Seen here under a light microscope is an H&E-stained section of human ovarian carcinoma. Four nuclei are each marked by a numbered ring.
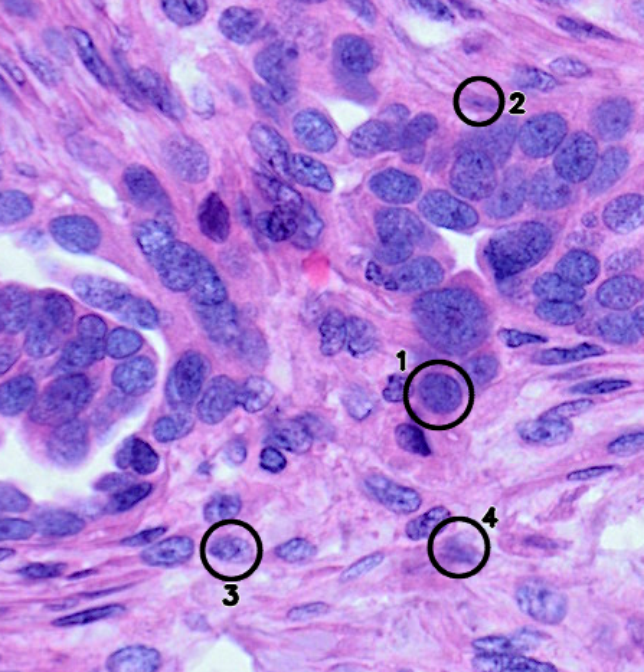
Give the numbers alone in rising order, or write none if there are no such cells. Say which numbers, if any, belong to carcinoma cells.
1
